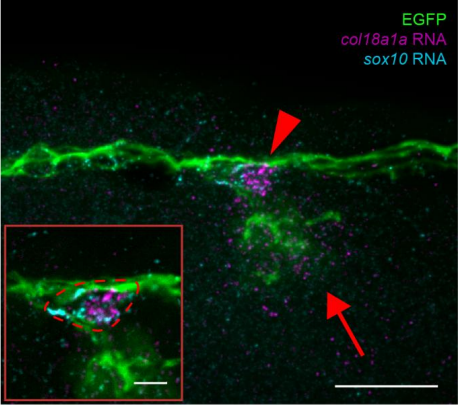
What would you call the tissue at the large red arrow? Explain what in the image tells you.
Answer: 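A rounded cluster of green cells hangs below the horizontal green fibre. Magenta dots are scattered through the cluster.
Conclusion: neuromast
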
